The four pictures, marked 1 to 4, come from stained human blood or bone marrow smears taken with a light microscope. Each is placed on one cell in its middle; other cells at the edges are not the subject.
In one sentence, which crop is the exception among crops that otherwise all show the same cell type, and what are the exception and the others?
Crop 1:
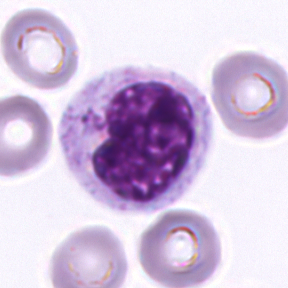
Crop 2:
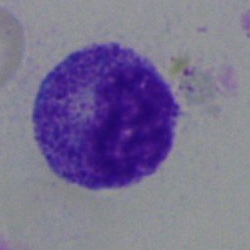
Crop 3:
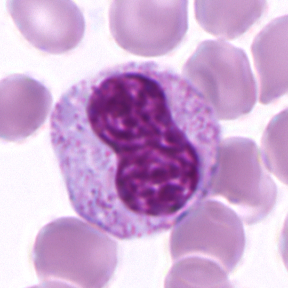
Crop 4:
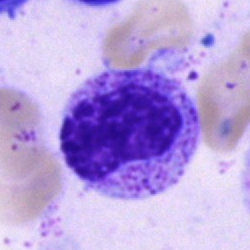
Seen in crop 2 is a myelocyte, and seen in all other crops are metamyelocytes.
